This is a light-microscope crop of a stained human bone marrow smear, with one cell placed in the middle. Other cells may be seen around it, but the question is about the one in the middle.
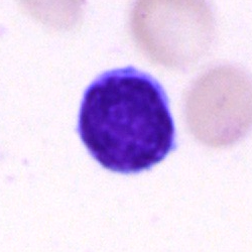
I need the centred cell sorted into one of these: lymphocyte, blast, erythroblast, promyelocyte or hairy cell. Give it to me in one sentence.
The cell sitting right in the middle is a lymphocyte.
